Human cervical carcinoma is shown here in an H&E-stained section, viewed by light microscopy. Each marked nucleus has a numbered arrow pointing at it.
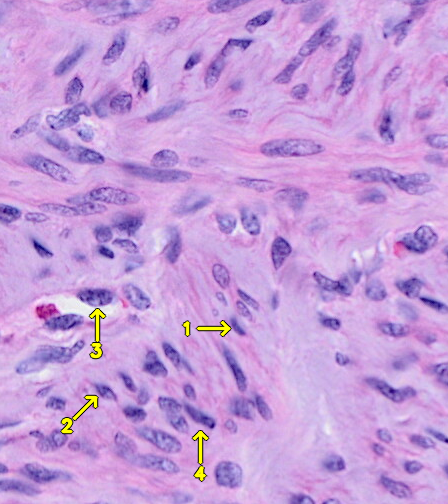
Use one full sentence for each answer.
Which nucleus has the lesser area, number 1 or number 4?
The smaller nucleus is 1, and 4 covers roughly 4 times its area.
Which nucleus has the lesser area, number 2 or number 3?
Number 2 is smaller, since number 3 takes up about 3 times as much area.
